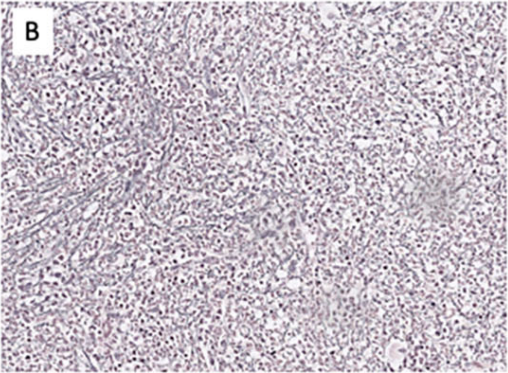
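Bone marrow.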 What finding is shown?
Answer: Fibrosis.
